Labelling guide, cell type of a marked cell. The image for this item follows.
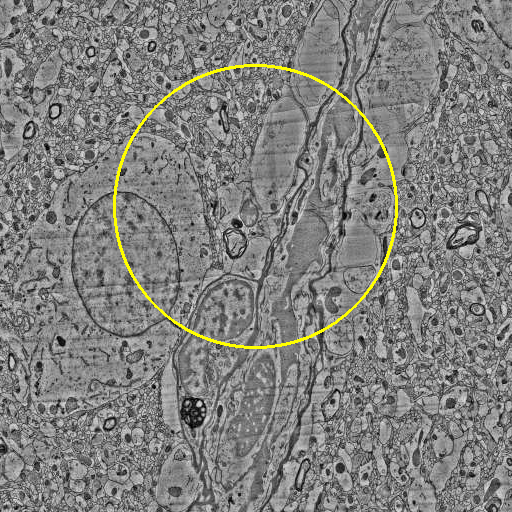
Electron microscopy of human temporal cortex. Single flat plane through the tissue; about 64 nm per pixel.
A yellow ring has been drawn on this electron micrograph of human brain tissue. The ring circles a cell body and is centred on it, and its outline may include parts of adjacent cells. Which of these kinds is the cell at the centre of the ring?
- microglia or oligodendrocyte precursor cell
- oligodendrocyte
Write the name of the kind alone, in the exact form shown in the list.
microglia or oligodendrocyte precursor cell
